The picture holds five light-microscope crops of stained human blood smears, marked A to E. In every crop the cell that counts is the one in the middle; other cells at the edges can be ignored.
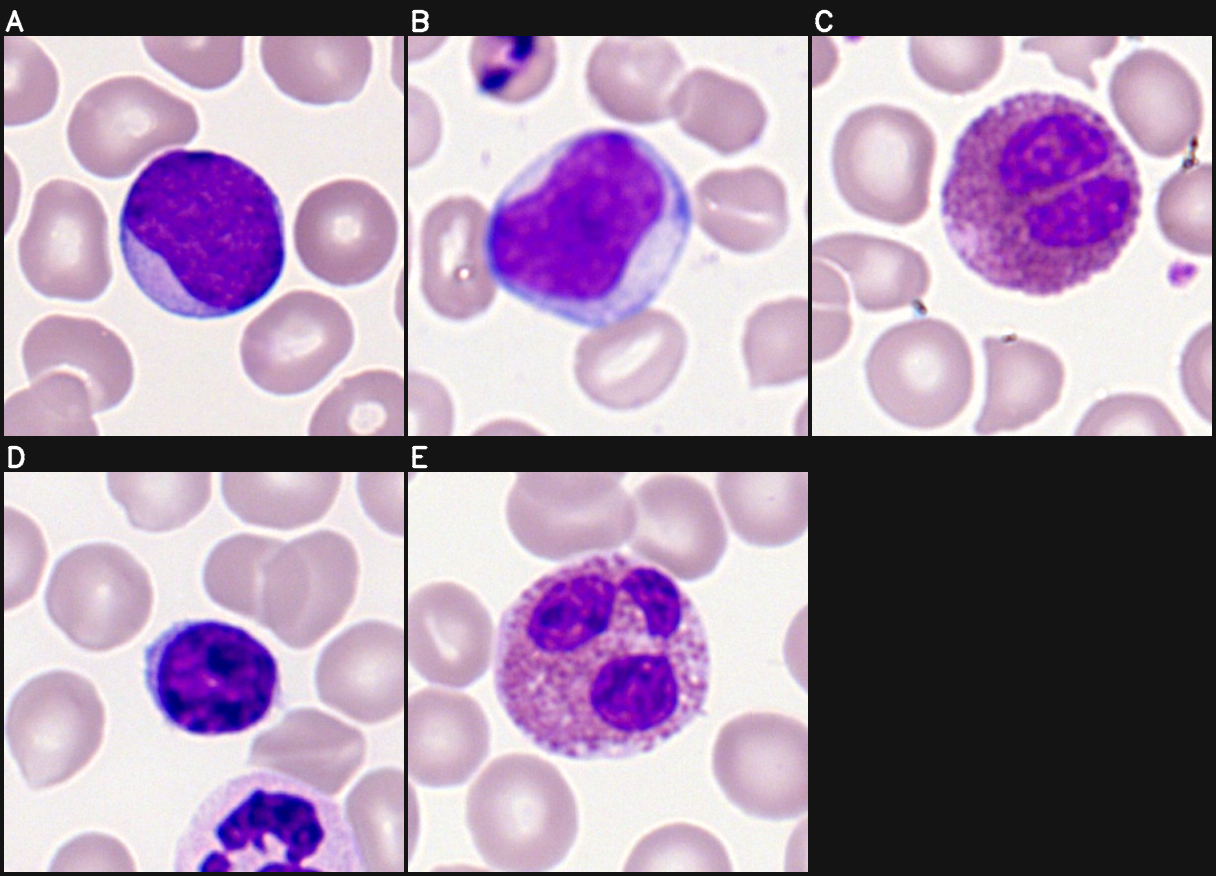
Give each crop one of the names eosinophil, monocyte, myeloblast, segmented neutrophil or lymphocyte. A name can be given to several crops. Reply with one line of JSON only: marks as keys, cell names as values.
{"A": "myeloblast", "B": "myeloblast", "C": "eosinophil", "D": "lymphocyte", "E": "eosinophil"}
